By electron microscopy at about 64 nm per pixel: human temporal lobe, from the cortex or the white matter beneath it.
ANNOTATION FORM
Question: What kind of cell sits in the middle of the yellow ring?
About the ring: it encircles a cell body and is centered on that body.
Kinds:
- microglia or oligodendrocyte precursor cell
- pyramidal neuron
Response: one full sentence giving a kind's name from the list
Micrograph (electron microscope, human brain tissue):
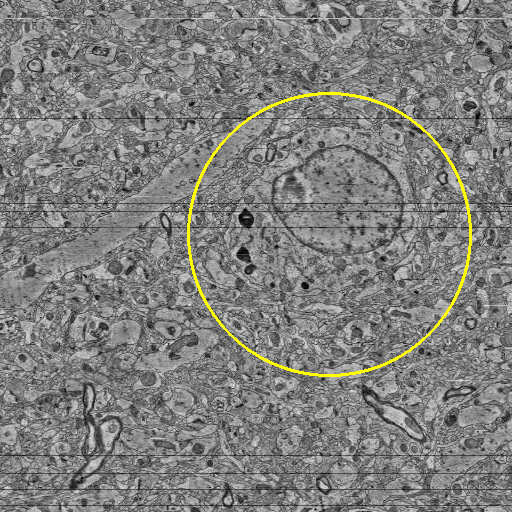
The kind of cell found at the center of the yellow ring in the micrograph is a pyramidal neuron.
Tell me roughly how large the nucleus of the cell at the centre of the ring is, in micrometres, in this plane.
In this plane, roughly 8 by 7 micrometres.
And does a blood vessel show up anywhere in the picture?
No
